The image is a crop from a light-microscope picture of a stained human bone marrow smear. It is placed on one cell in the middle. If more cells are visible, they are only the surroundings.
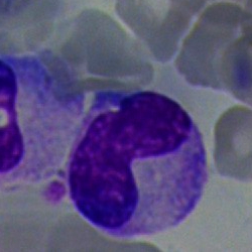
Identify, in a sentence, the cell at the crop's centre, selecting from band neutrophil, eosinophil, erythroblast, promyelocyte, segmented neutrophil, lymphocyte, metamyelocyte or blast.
This particular crop is centered on a band neutrophil.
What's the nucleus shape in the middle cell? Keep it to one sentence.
If you check the nucleus, you will find one compact mass, round, oval or kidney-shaped.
